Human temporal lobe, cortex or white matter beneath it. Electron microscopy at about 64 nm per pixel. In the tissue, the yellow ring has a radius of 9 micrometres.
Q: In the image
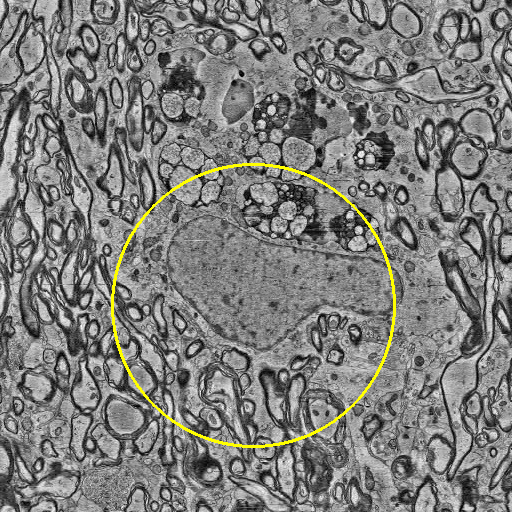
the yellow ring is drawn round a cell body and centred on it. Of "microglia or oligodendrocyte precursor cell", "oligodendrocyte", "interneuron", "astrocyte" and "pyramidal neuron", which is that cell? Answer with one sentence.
The cell centred in the ring is an astrocyte.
